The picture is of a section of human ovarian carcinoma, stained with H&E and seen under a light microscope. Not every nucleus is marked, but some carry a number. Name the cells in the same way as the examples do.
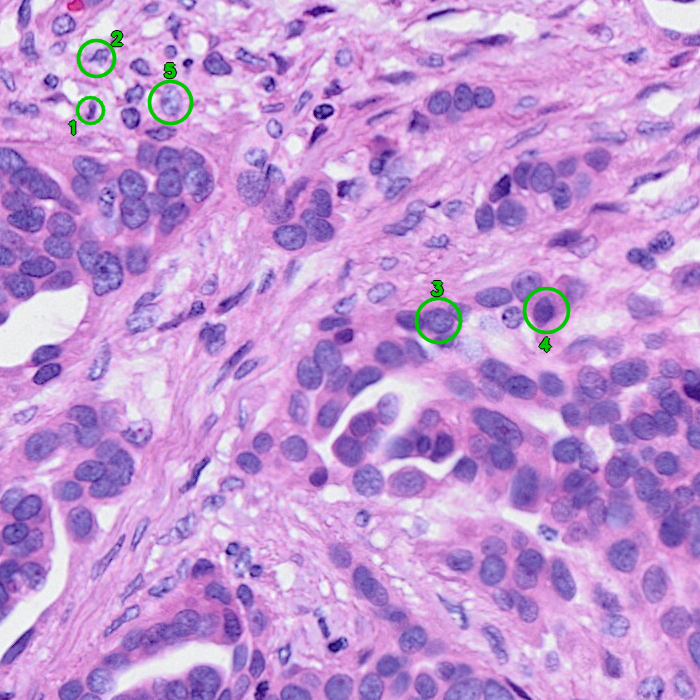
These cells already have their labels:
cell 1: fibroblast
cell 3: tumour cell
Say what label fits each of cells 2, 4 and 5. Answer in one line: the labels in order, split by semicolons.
fibroblast; tumour cell; fibroblast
